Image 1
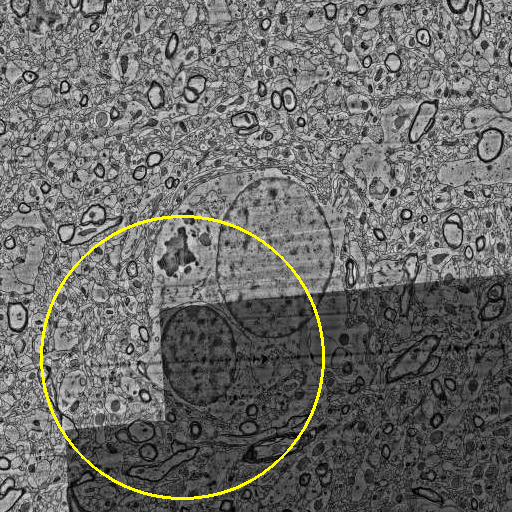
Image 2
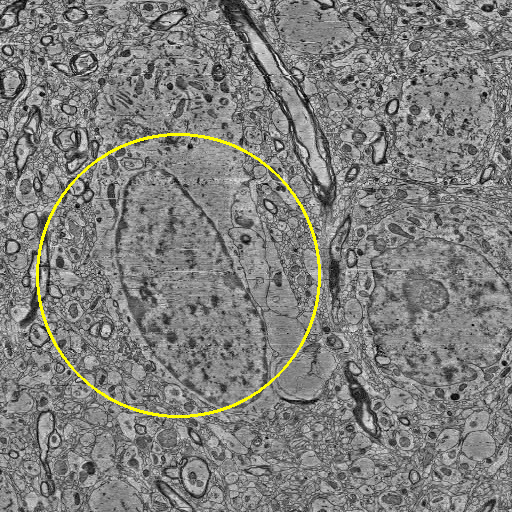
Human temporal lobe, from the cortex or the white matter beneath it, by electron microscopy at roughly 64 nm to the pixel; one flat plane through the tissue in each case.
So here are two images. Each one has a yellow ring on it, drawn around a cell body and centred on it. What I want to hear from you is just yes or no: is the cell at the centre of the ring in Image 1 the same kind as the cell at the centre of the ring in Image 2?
yes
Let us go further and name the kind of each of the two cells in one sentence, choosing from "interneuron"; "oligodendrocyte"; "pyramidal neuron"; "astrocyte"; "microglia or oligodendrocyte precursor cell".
The cell at the ring centre is a microglial cell or oligodendrocyte precursor cell in both pictures.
